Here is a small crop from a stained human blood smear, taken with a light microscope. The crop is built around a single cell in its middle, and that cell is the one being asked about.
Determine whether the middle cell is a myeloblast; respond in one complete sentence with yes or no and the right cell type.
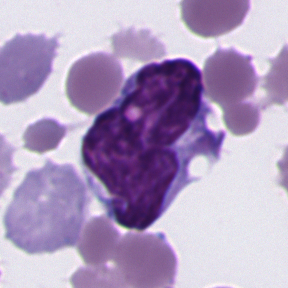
No, it is a monocyte rather than a myeloblast that the middle of the crop contains.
